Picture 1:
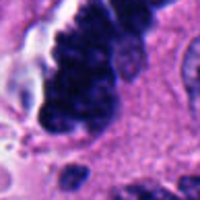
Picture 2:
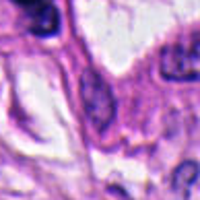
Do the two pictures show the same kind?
No: a syncytial knot, then a cytotrophoblast.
